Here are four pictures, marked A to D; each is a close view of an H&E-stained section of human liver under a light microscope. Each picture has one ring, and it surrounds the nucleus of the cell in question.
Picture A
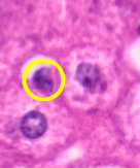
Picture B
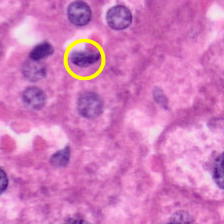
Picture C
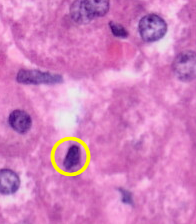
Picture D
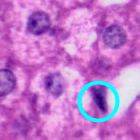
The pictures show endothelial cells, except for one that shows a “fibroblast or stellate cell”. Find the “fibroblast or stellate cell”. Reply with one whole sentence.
Picture C is the one that shows the “fibroblast or stellate cell”.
